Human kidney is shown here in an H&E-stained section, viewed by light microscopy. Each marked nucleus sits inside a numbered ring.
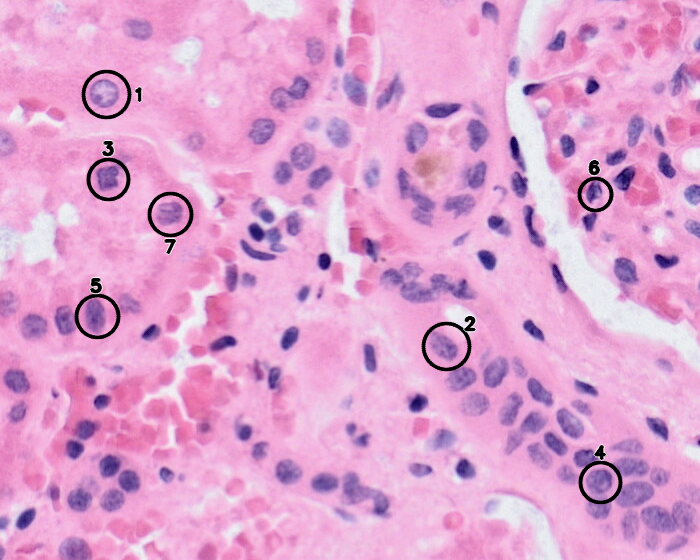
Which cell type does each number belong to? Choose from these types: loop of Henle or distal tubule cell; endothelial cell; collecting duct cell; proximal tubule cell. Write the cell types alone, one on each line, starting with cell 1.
proximal tubule cell
collecting duct cell
proximal tubule cell
collecting duct cell
proximal tubule cell
endothelial cell
proximal tubule cell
